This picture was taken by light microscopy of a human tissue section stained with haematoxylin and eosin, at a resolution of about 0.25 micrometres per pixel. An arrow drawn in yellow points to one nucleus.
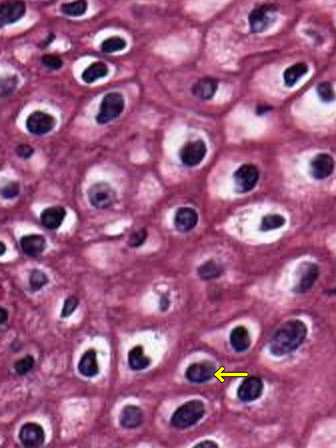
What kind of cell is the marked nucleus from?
squamous epithelial cell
